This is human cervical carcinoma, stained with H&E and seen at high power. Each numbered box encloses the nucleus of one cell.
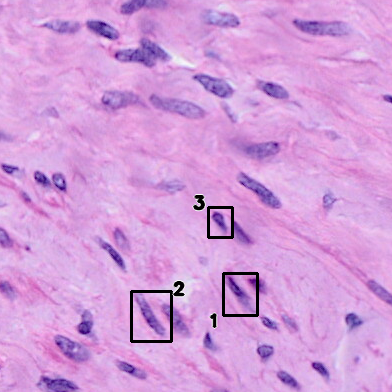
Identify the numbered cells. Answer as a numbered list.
1. fibroblast
2. smooth muscle cell
3. fibroblast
